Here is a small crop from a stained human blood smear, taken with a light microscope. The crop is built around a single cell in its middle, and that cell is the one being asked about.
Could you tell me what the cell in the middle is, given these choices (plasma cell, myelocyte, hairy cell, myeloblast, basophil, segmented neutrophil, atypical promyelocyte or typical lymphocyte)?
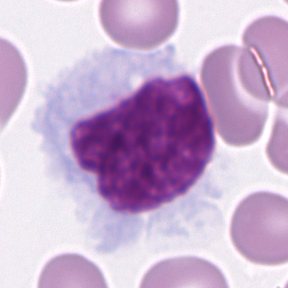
hairy cell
